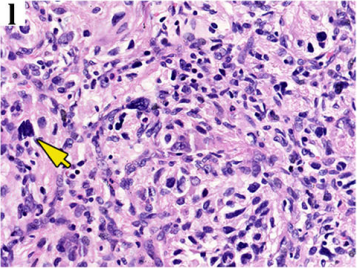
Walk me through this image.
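Densely packed tumor cells with pink cytoplasm fill the field, their nuclei varying markedly in size and shape: some small and oval, others elongated and spindle-like, and a few large, dark and irregular. One such large, hyperchromatic cell is singled out at the left. Fine pink fibrillary strands run between the cells, and some cells are drawn out into spindle forms. The striking variation in nuclear size, shape and darkness across neighbouring cells is what marks this as a focus of giant tumor cells with marked pleomorphism.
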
